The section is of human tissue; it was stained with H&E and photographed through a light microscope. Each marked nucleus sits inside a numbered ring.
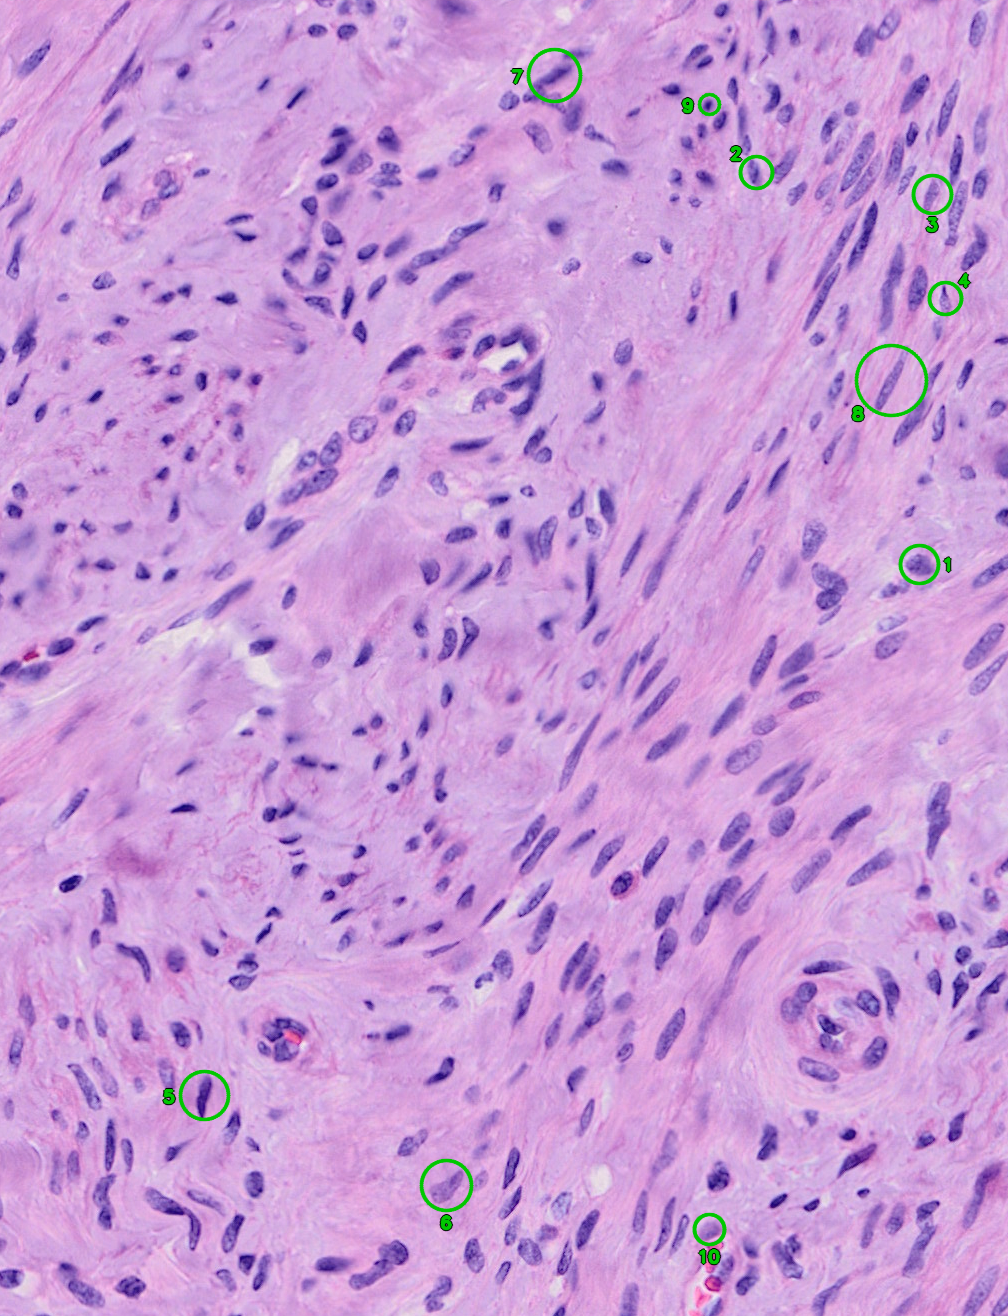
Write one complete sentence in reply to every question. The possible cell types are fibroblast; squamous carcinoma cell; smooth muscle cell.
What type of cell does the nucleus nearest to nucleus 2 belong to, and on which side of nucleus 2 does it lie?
It is a smooth muscle cell, whose nucleus lies to the right of nucleus 2.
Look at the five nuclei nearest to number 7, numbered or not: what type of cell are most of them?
Fibroblasts make up most of the five nuclei closest to number 7.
